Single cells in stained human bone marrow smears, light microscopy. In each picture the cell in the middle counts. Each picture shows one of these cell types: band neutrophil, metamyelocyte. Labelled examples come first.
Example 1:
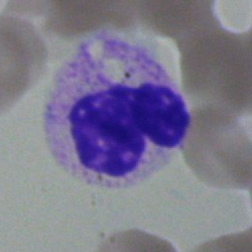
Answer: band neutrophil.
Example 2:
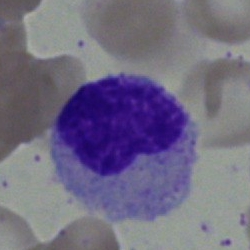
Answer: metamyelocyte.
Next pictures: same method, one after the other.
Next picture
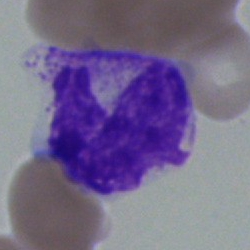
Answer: metamyelocyte.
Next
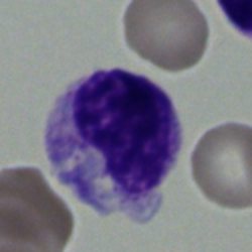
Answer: metamyelocyte.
